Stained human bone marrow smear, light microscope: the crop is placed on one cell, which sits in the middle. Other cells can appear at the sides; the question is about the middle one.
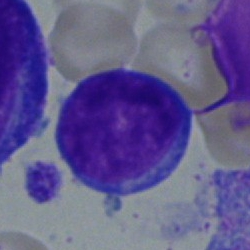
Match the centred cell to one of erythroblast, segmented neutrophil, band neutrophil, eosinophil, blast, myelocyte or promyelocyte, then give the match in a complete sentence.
The central element of this crop is a cell, namely a blast.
